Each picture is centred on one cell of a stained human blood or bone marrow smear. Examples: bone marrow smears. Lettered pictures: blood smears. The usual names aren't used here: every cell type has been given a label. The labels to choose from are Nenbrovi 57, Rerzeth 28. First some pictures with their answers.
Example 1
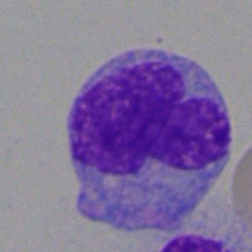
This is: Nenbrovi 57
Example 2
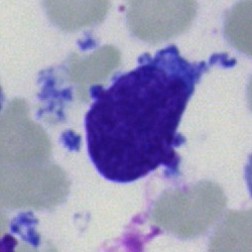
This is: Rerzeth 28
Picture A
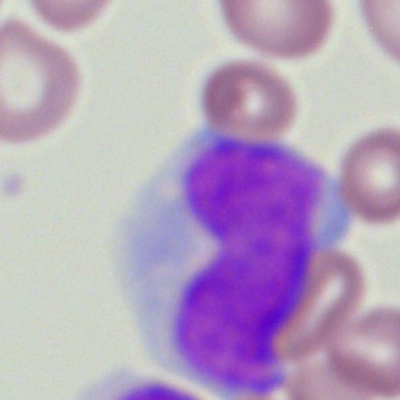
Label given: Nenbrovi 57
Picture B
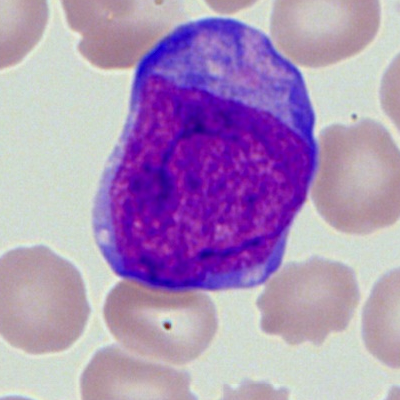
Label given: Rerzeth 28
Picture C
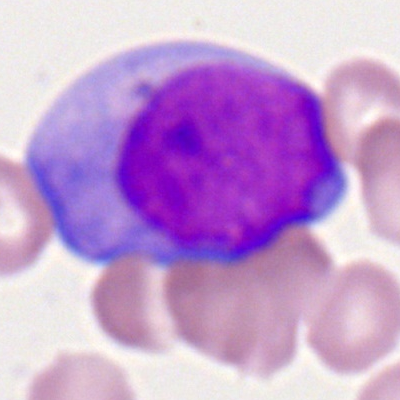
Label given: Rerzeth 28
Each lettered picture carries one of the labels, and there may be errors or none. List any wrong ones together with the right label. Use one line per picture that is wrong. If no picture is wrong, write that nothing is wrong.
All correct.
